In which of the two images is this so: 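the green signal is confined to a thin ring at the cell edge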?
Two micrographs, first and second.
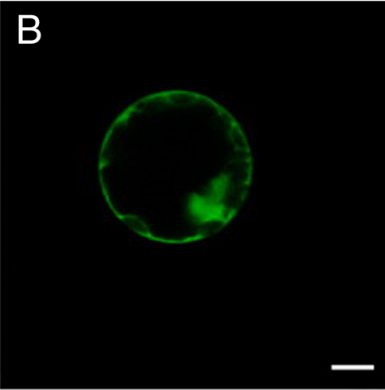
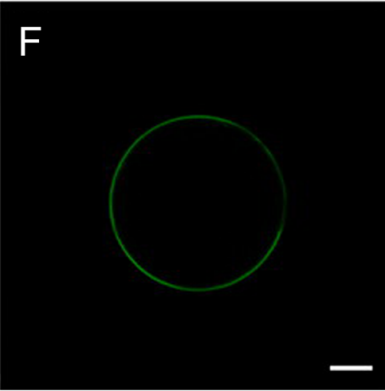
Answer: the second image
